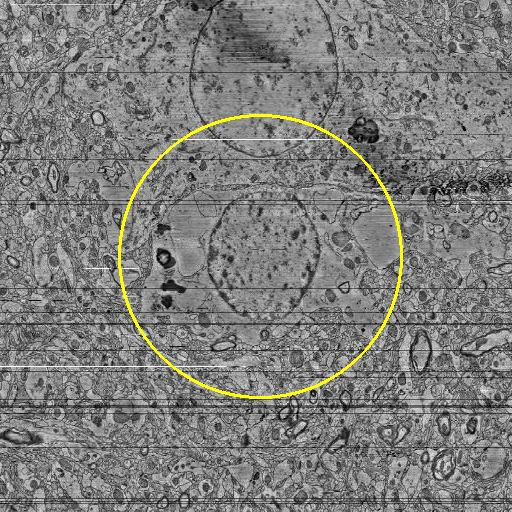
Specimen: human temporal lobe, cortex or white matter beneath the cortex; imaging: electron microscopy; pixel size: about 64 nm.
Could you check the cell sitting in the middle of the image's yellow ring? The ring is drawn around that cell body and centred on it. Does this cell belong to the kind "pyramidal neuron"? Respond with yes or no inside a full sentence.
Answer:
No, this cell in the middle of the yellow ring is one of a different kind.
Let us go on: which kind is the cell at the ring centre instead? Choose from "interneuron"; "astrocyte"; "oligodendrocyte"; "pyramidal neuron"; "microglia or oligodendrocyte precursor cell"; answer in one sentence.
At the centre of the ring sits an astrocyte.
